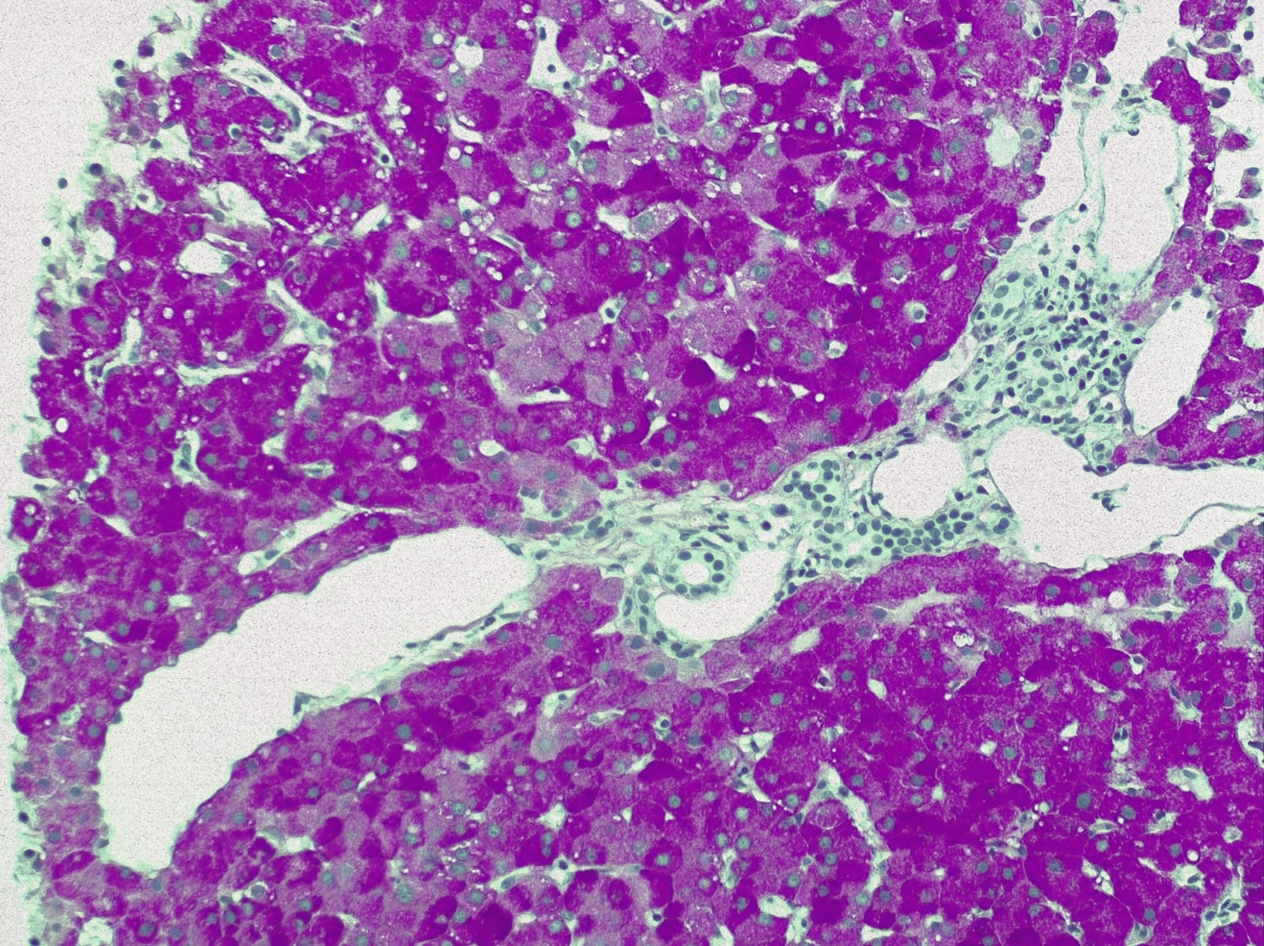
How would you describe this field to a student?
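This is liver parenchyma in which polygonal hepatocytes, with strongly magenta cytoplasm and round central nuclei, are arranged in cords separated by narrow, slightly widened sinusoids; some hepatocytes contain small clear vacuoles. Crossing the middle of the field is a portal space of pale, loose connective tissue with a small duct lined by cuboidal cells and clusters of small dark nuclei. Large, empty, thin-walled vessels lie dilated at the edges of this portal space, bordered directly by the hepatocyte cords.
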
